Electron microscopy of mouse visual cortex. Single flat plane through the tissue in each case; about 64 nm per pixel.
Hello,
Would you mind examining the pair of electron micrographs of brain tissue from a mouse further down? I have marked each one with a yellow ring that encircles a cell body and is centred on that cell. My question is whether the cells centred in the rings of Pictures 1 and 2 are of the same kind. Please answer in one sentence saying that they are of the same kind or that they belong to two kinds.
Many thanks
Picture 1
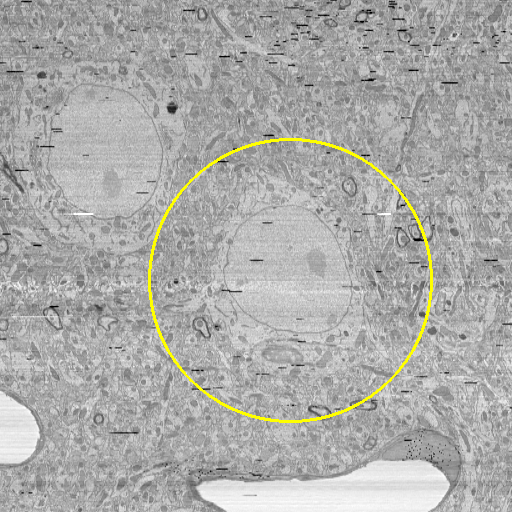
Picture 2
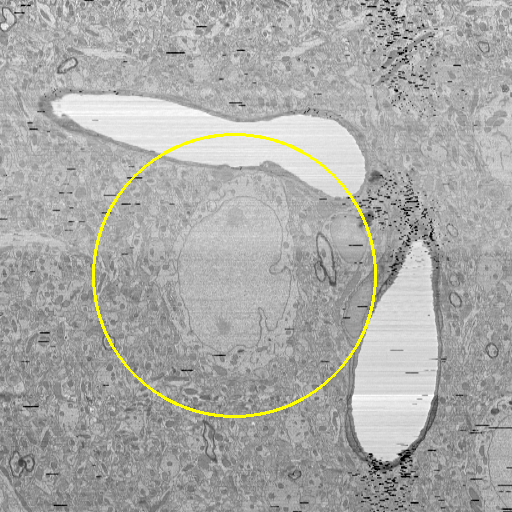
In Pictures 1 and 2, the cells at the heart of the rings are of the same kind.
